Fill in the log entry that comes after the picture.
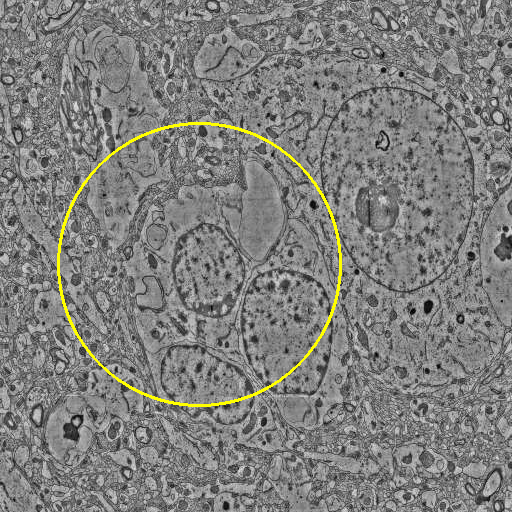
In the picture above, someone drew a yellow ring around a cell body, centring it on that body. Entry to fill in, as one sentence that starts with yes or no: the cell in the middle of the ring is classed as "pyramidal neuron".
No, the cell in the ring's centre in this image is of a different kind.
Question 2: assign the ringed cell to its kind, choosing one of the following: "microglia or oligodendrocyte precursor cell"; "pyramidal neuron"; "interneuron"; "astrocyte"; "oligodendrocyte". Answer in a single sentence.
Instead, the cell at the centre of the ring is an astrocyte.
